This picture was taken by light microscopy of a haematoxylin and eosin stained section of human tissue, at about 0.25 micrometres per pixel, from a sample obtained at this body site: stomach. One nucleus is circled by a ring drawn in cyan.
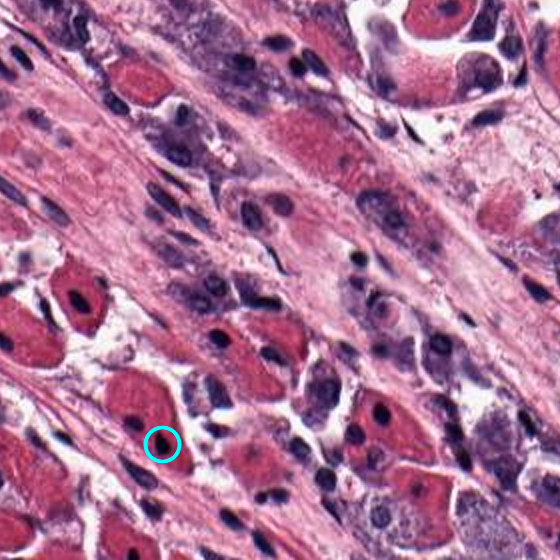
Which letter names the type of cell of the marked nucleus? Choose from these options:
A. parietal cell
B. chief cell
A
